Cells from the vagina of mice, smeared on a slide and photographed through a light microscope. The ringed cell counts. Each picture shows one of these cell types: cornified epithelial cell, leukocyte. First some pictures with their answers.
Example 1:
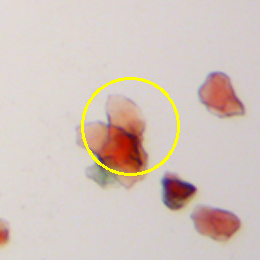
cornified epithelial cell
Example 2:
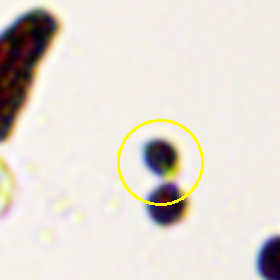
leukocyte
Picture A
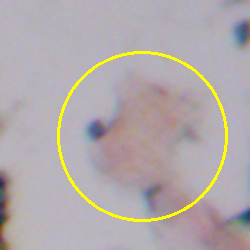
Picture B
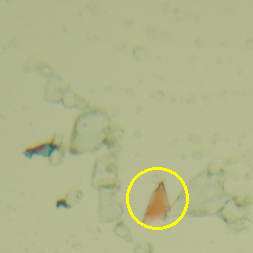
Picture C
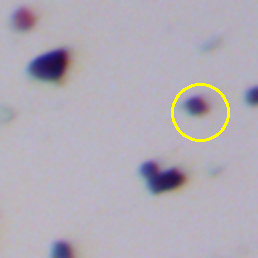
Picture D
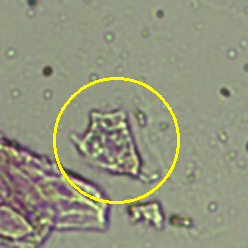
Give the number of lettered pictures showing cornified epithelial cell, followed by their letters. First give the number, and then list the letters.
Count: 3 (A, B, D)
